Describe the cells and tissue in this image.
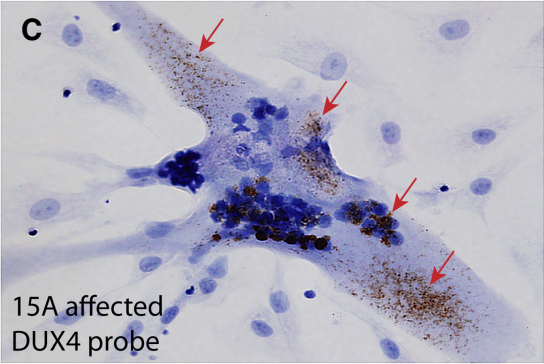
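Cultured myotubes and surrounding single cells are shown with a blue nuclear counterstain. One large multinucleated cell holds a tight cluster of dark, crowded nuclei, several of them covered by brown deposits, and its broad cytoplasm extends in long arms. Fine brown dots are scattered densely through much of this cytoplasm, while the neighbouring small cells with pale oval nuclei carry almost none.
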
